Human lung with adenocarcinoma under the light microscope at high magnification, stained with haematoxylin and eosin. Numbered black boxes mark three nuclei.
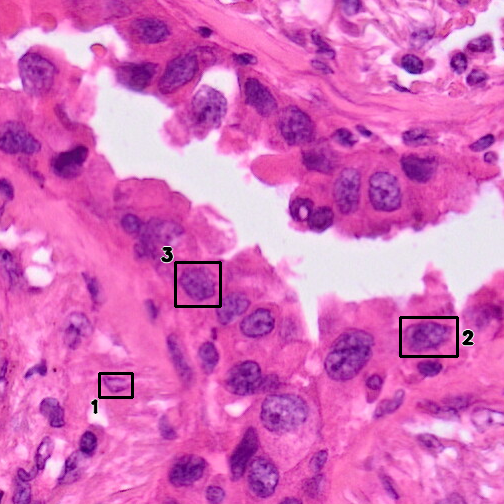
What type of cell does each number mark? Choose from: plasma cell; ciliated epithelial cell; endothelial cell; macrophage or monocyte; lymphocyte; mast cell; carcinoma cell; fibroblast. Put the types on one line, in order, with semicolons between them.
macrophage or monocyte; carcinoma cell; carcinoma cell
